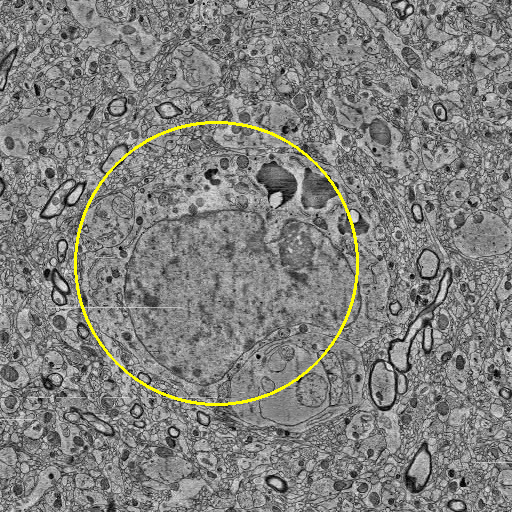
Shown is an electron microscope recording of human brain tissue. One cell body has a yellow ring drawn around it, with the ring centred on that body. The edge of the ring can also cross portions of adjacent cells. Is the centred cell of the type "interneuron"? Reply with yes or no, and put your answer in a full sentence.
Yes, in the picture, the cell on which the ring is centred has this type.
